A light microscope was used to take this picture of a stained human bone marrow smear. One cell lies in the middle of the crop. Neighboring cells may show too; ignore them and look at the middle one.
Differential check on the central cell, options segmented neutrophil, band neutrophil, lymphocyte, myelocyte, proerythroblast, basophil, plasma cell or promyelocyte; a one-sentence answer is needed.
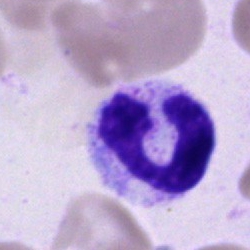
At the middle of the frame sits a band neutrophil.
